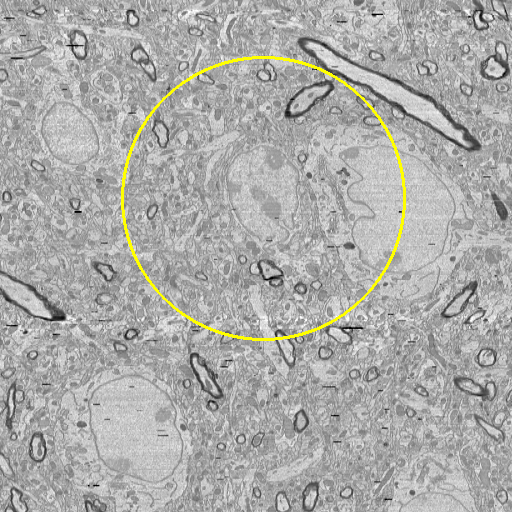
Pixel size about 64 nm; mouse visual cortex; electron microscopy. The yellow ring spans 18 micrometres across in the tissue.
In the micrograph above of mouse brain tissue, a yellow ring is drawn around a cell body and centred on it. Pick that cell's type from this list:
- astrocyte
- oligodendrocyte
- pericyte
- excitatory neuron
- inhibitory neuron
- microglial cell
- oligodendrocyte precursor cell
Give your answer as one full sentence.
Going by the list, an oligodendrocyte precursor cell is the cell on which the yellow ring is centred.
